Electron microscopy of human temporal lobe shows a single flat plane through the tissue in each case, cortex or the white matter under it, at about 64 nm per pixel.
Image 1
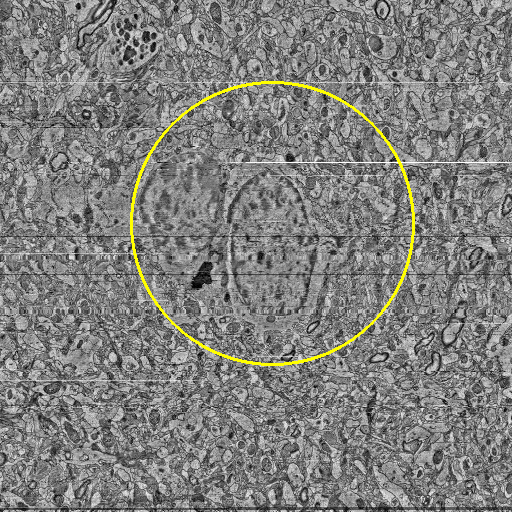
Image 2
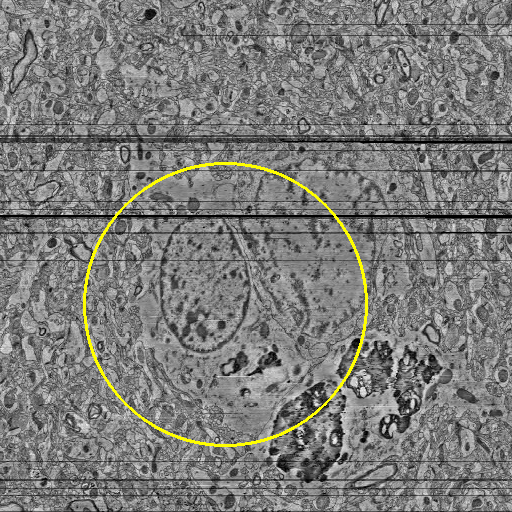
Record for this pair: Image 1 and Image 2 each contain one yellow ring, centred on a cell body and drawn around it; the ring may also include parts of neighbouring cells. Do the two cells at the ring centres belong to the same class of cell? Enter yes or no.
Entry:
yes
